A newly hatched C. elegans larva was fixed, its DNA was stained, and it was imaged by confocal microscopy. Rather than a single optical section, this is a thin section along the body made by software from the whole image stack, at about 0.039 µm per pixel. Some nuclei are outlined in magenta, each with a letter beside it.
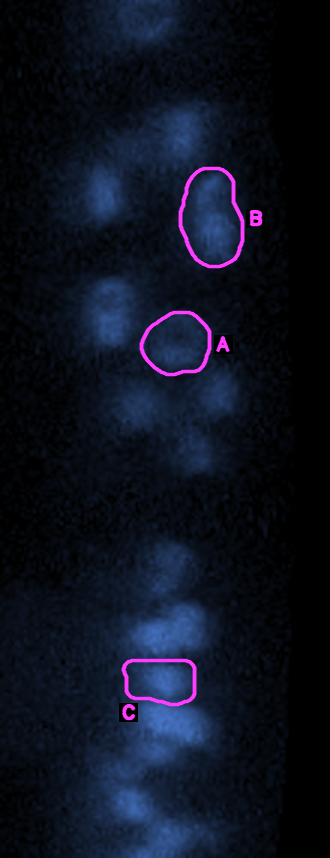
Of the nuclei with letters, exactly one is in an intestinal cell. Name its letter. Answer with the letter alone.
A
